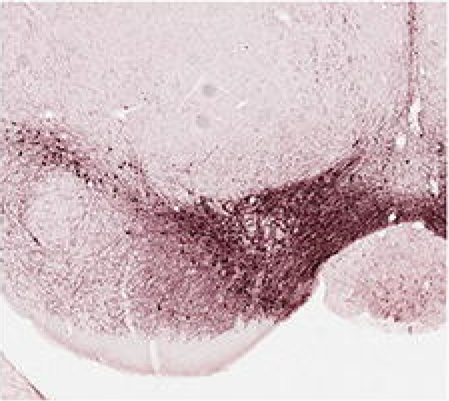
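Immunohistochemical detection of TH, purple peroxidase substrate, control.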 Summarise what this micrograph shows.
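A low-power view of the ventral midbrain shows a broad band of dense dark purple staining along its base, made of many small stained cell bodies and a meshwork of fibres. The band is thickest near the middle and thins toward the side, while the tissue above is pale with only scattered fibres. A rounded pale structure lies at the lower right edge.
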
